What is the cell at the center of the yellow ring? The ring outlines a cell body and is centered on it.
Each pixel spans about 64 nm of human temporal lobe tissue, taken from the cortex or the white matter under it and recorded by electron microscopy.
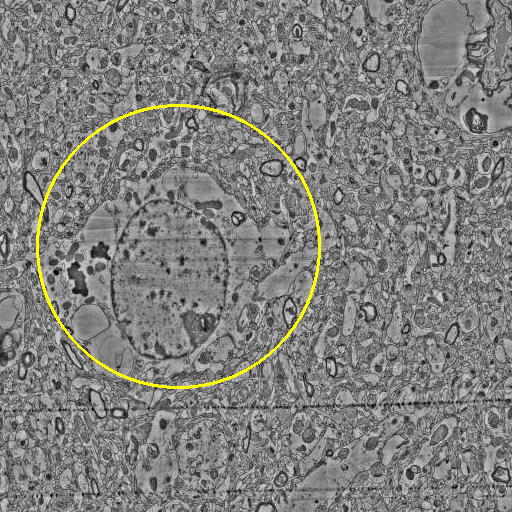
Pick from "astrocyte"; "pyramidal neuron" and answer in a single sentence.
The yellow ring is centered on an astrocyte.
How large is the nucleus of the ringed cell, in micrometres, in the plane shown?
Approximately 10 by 7 micrometers in this plane.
